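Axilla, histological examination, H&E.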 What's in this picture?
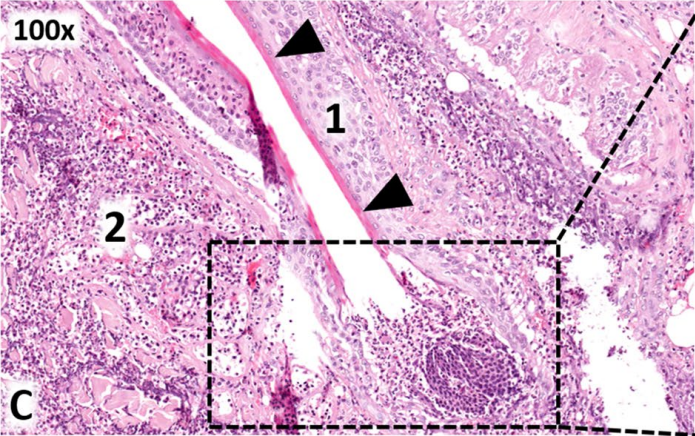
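Here is skin dermis at low magnification, centred on a hair follicle cut lengthwise and surrounded by inflammation. A white cleft with a bright pink lining runs diagonally across, bordered by bands of epithelium made of cells with pale pink cytoplasm. Along and among these bands lie dense crowds of small cells with dark nuclei, an inflammatory infiltrate. On the left, a looser zone holds scattered inflammatory cells, purple clusters and pale pink fragments within collagen. Near the lower end of the follicle a rounded, dark, cell-dense nest is visible, the follicular papilla, ringed by more inflammatory cells.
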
